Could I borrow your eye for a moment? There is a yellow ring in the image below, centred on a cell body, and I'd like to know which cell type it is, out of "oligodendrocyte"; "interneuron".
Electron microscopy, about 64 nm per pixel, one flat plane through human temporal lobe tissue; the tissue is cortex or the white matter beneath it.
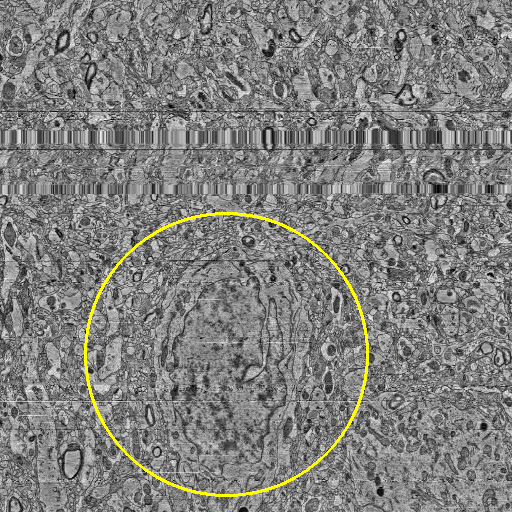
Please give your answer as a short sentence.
The cell body at the centre is that of an interneuron.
